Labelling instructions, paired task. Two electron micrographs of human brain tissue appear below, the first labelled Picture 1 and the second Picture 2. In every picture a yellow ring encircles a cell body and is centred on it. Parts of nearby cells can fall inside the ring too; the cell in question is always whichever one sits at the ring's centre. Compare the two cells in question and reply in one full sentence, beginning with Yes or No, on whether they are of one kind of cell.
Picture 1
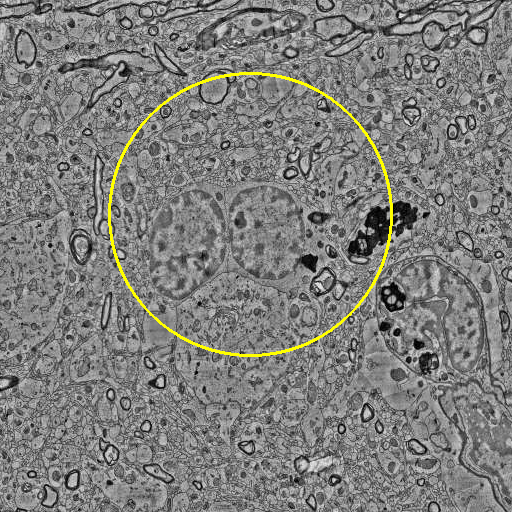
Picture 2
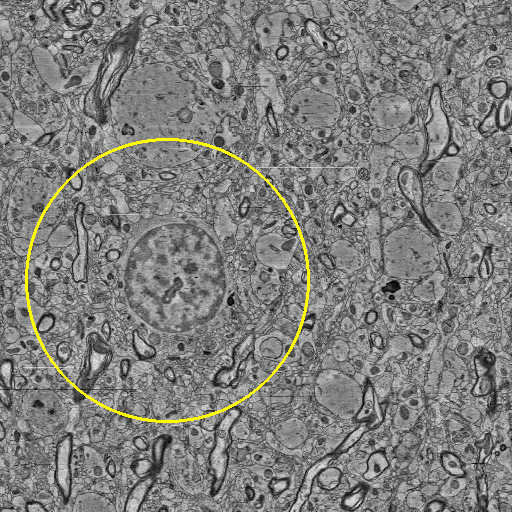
Yes, the two cells at the ring centres in Picture 1 and Picture 2 are of one kind.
